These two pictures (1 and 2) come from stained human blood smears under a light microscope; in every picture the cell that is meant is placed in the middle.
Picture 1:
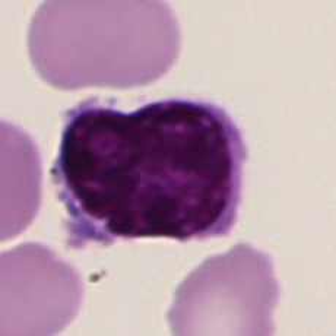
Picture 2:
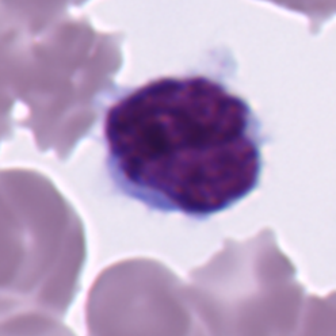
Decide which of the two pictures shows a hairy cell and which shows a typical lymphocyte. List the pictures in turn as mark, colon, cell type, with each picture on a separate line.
1: typical lymphocyte
2: hairy cell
